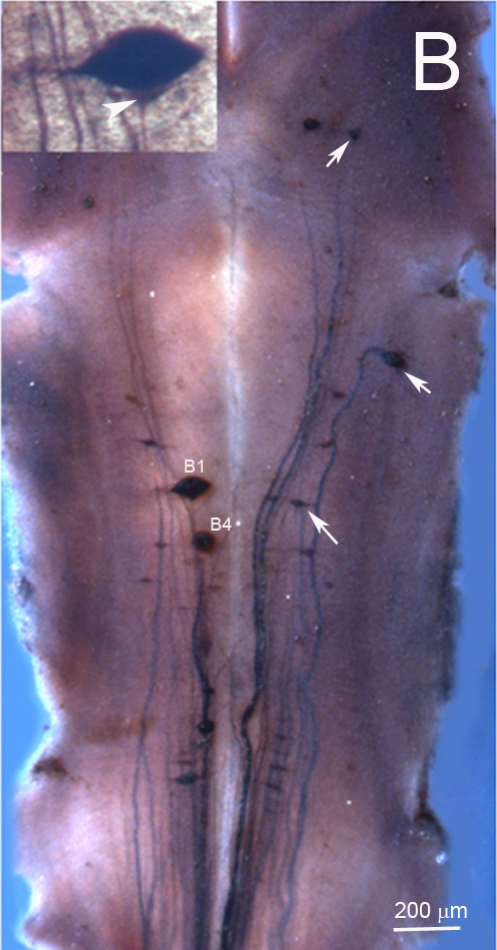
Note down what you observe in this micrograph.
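Seen from above, a flattened brain stem shows scattered dark blue-black nerve cell bodies on a pinkish-brown background on either side of a pale midline. The largest, near the midline, is a big swollen spindle-shaped cell body, with a smaller rounded dark one just behind it. From many cell bodies long dark axons run lengthwise toward the lower end of the tissue, forming bundles on each side of the midline, some winding. Smaller dark somata lie further out at the sides. An enlarged inset shows the big dark cell body with a small faint profile beside it.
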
